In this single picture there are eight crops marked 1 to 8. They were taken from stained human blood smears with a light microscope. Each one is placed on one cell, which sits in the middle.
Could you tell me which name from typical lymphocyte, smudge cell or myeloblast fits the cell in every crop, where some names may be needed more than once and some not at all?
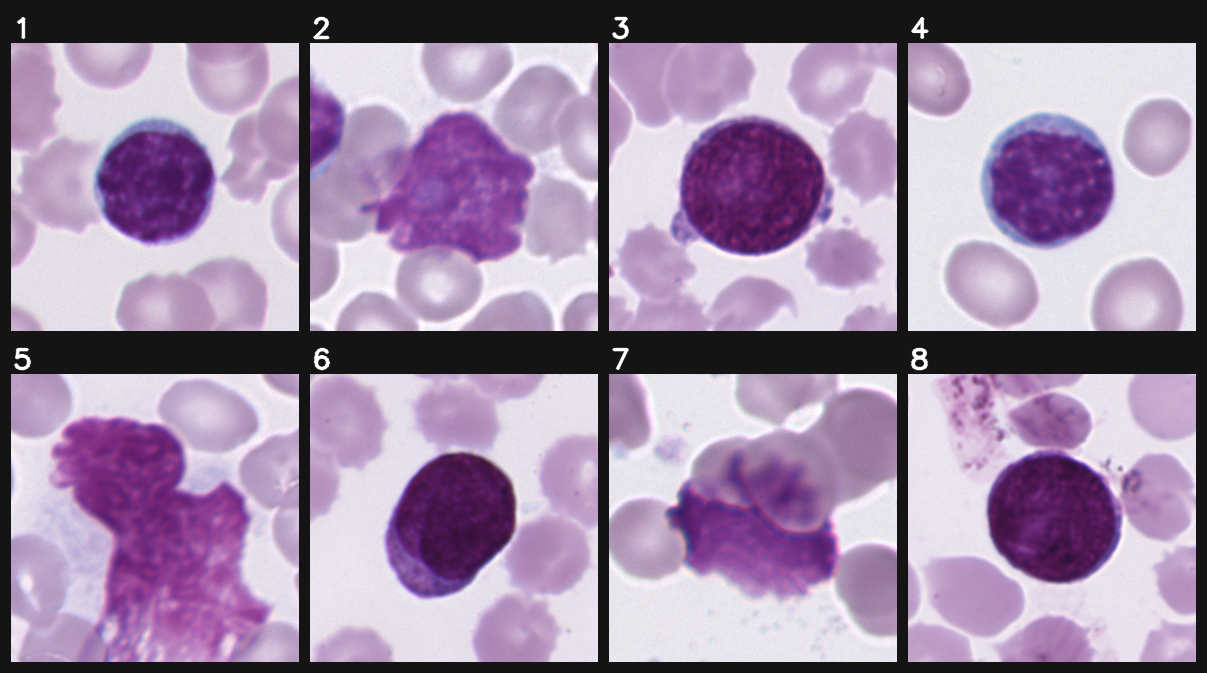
1: typical lymphocyte
2: smudge cell
3: myeloblast
4: myeloblast
5: smudge cell
6: myeloblast
7: smudge cell
8: myeloblast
